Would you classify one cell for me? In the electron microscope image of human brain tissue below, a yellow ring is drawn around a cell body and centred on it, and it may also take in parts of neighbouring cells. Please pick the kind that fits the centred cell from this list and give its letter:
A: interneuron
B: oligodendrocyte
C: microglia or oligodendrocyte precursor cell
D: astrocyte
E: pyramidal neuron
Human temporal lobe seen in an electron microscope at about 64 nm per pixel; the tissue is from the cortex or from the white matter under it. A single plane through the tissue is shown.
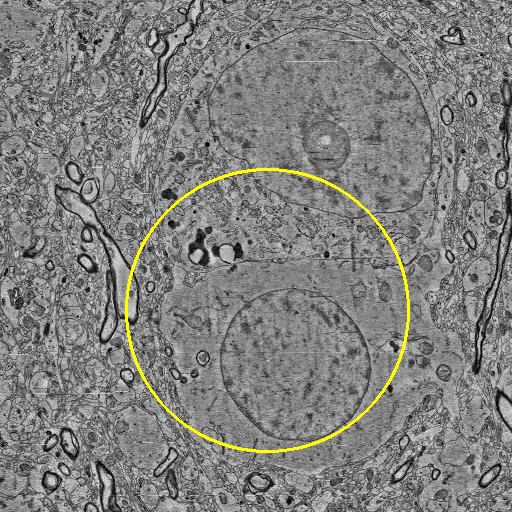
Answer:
D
